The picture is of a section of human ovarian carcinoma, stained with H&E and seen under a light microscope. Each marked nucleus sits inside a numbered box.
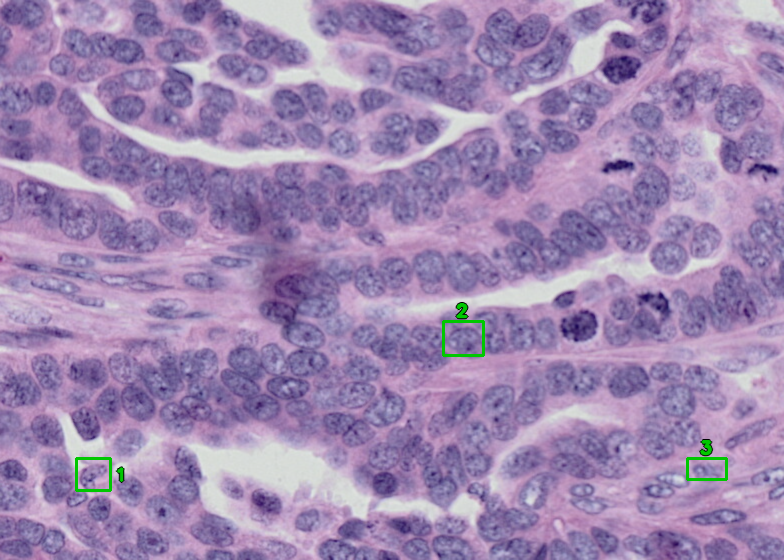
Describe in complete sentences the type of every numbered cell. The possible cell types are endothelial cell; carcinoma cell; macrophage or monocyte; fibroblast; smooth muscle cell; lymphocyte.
Cell 1 is a macrophage or monocyte. Cell 2 is a carcinoma cell. Cell 3 is a fibroblast.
